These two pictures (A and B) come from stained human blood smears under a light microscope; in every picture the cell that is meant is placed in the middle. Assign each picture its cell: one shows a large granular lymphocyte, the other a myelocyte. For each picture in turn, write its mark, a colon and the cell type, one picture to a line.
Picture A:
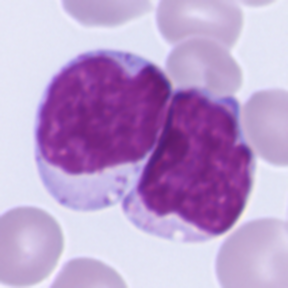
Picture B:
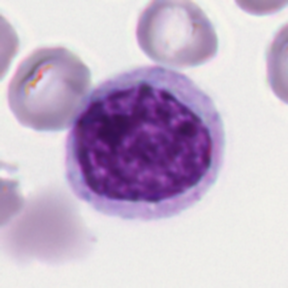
A: large granular lymphocyte
B: myelocyte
